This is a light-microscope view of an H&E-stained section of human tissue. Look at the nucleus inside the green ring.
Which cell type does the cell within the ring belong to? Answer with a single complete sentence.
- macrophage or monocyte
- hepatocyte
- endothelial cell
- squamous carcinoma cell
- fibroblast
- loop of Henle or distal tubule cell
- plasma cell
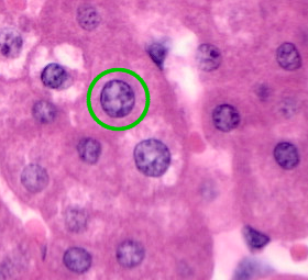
The correct response here is that the cell within the ring is a hepatocyte.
